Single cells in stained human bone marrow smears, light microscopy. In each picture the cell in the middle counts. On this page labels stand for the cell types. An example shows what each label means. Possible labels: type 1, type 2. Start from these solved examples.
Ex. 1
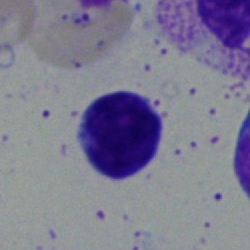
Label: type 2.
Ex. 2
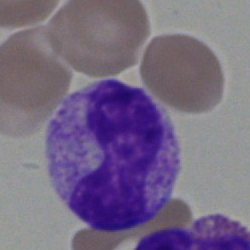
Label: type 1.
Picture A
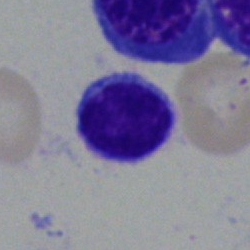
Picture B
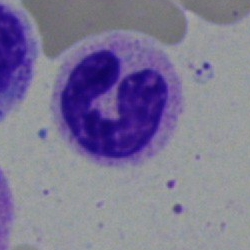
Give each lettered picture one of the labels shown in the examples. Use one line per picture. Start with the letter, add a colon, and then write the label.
A: type 2.
B: type 1.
